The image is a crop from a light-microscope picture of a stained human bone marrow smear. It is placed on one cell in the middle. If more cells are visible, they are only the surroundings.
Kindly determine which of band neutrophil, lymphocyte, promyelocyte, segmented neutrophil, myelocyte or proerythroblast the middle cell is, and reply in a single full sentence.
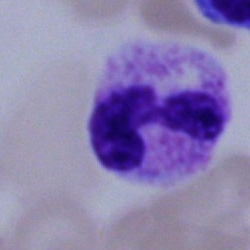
Where the crop is centred, there is a segmented neutrophil.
